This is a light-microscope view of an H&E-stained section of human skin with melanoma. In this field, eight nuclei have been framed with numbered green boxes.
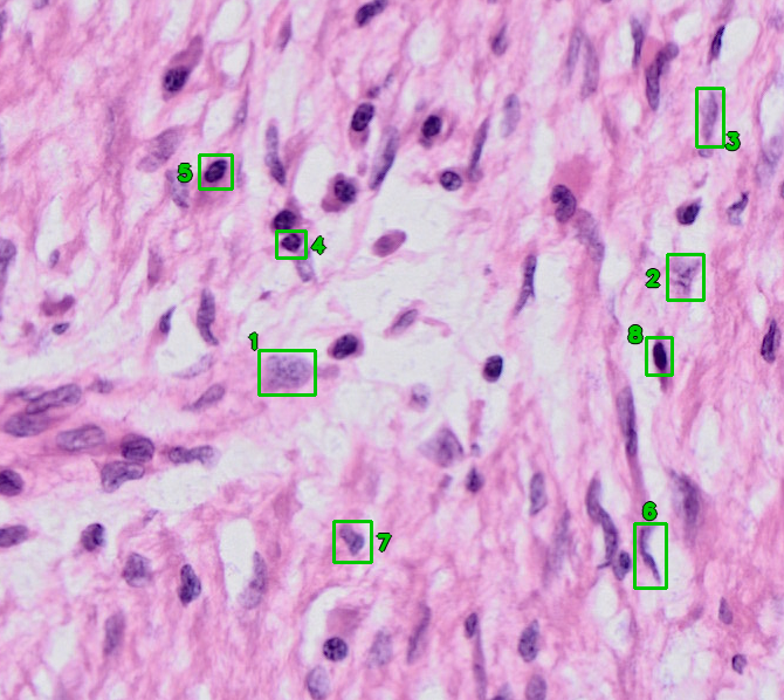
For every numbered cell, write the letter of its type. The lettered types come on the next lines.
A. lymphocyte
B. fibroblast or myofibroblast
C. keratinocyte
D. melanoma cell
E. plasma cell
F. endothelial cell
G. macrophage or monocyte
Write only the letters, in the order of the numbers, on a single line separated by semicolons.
B; B; B; E; E; B; G; E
